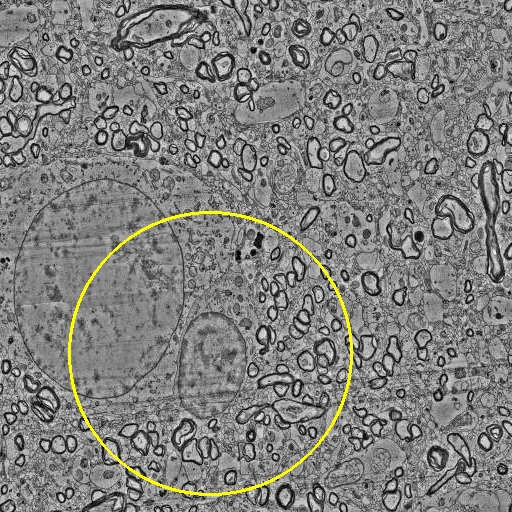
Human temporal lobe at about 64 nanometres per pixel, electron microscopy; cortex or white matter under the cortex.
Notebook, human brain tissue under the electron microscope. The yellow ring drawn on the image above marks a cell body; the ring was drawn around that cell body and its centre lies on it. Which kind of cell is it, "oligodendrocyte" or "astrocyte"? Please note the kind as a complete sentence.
The marked cell body is that of an oligodendrocyte.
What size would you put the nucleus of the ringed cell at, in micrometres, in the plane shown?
The nucleus of the ringed cell is approximately 7 by 5 micrometres in this plane.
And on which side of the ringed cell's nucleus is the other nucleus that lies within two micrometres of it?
The other one is to the upper left of it.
